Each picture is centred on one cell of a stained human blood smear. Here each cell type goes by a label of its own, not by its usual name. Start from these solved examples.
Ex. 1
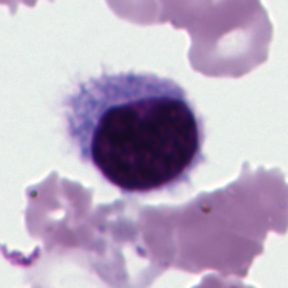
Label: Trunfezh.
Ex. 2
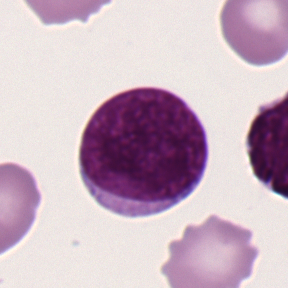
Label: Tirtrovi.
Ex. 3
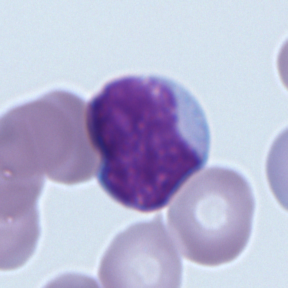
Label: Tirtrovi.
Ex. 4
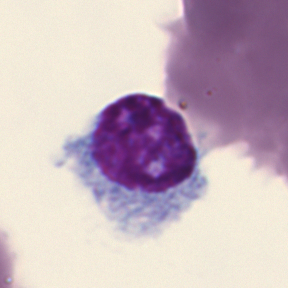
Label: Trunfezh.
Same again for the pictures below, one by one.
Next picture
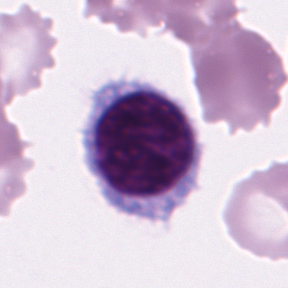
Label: Trunfezh.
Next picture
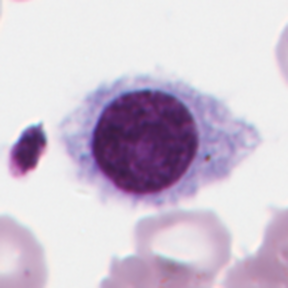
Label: Trunfezh.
